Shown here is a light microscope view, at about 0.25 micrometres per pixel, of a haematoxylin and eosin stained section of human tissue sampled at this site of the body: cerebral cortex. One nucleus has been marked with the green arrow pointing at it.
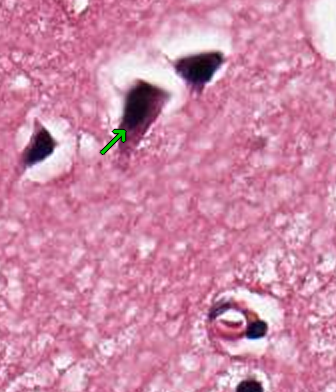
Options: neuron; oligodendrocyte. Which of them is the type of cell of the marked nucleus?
neuron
